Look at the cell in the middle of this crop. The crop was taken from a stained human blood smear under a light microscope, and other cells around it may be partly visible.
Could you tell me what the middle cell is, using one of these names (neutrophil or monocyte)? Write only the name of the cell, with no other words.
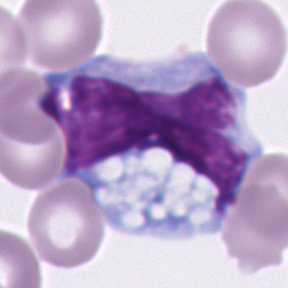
monocyte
